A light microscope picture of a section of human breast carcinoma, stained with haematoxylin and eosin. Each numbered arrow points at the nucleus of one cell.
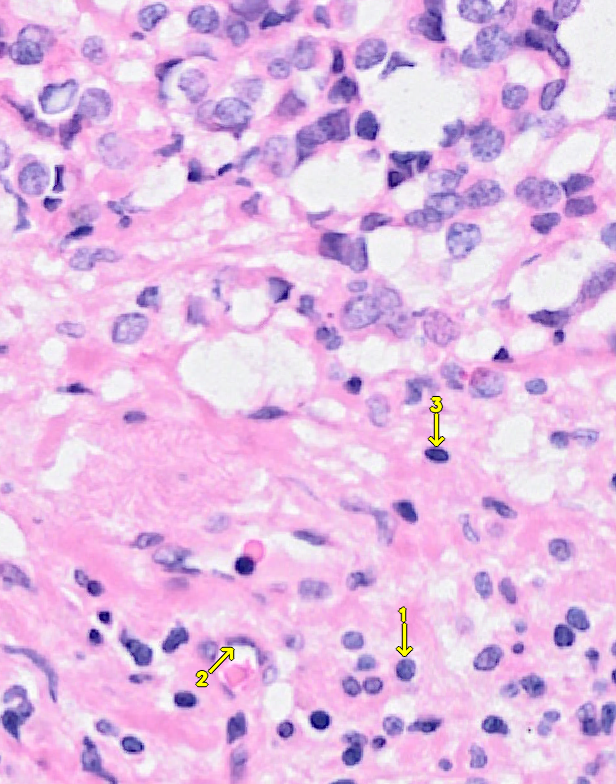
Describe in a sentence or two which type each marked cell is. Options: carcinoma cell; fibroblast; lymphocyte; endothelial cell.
Cell 1 is a lymphocyte, cell 2 is an endothelial cell and cell 3 is a lymphocyte.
